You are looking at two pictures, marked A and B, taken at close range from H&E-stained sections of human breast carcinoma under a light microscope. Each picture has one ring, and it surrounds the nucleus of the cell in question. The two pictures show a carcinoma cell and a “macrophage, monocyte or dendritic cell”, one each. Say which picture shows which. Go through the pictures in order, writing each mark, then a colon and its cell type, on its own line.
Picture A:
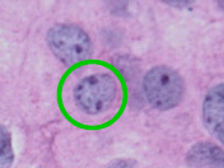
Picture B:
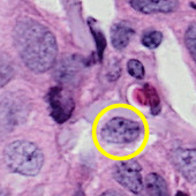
A: carcinoma cell
B: macrophage, monocyte or dendritic cell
